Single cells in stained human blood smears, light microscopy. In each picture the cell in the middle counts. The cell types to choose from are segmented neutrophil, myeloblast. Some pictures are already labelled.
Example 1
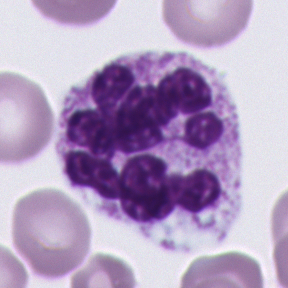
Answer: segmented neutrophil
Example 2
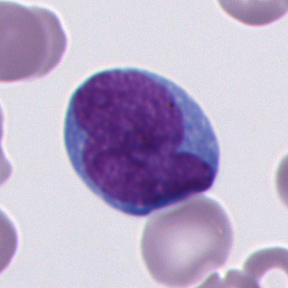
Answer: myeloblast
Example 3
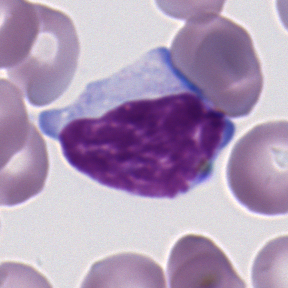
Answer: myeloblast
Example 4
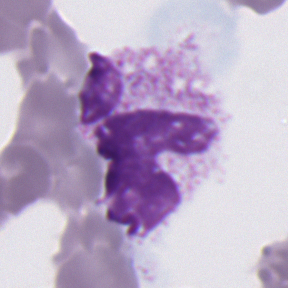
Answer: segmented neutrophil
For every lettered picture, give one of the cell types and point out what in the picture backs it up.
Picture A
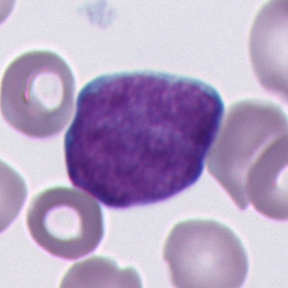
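myeloblast. The thin cytoplasmic rim is deep blue.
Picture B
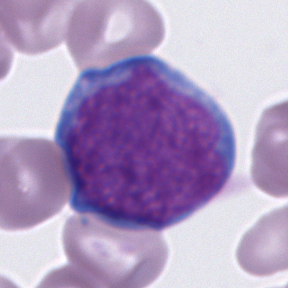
myeloblast. The cytoplasm forms only a narrow rim around the nucleus.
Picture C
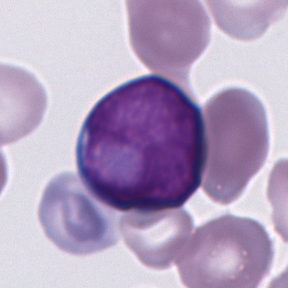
myeloblast. The thin rim of cytoplasm stains dark blue.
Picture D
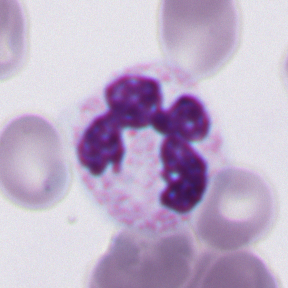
segmented neutrophil. The lobes form an arc that is open toward the bottom of the cell.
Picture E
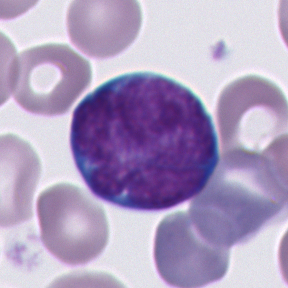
myeloblast. The cytoplasm is deep blue.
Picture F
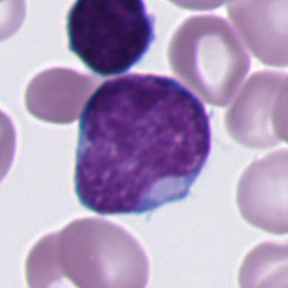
myeloblast. The nucleus fills most of the cell.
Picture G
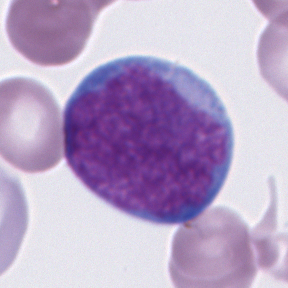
myeloblast. The cytoplasm forms a narrow rim that is widest at the upper right.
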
